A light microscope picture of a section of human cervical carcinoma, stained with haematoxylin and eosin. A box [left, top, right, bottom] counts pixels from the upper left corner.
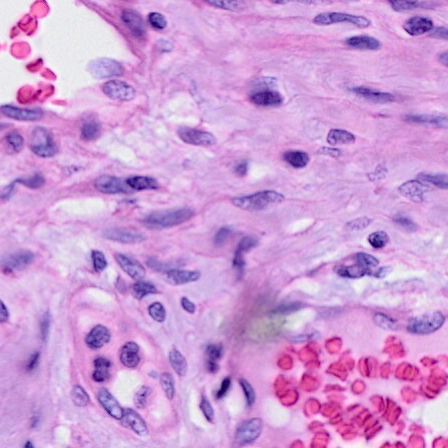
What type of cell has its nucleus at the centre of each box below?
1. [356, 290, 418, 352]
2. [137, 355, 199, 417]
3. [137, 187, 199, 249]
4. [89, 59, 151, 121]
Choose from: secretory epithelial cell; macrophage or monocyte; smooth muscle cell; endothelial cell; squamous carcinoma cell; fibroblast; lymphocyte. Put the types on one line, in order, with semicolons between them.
endothelial cell; endothelial cell; fibroblast; endothelial cell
